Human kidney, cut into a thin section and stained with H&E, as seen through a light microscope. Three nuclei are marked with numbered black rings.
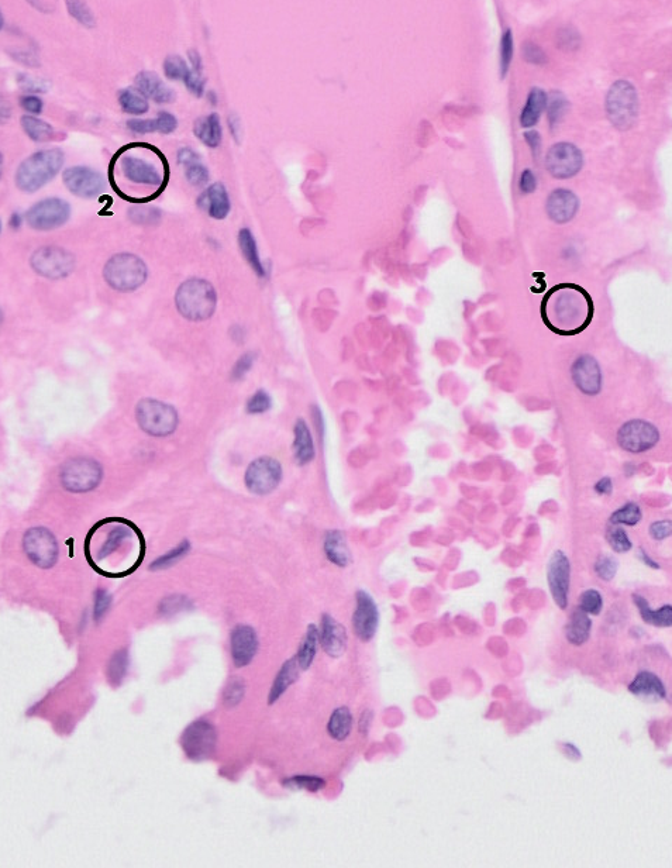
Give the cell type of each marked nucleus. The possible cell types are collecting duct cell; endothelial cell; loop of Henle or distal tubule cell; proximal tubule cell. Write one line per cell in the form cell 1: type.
cell 1: endothelial cell
cell 2: endothelial cell
cell 3: proximal tubule cell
